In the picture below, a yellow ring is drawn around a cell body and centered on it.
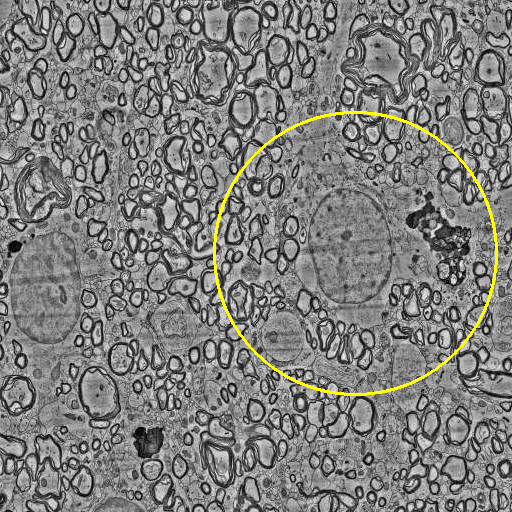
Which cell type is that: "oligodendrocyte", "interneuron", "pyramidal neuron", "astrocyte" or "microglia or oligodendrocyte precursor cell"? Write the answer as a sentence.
The cell centered in the ring is an astrocyte.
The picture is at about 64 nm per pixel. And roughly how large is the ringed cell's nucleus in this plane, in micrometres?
In this plane the nucleus measures roughly 7 by 5 micrometers.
